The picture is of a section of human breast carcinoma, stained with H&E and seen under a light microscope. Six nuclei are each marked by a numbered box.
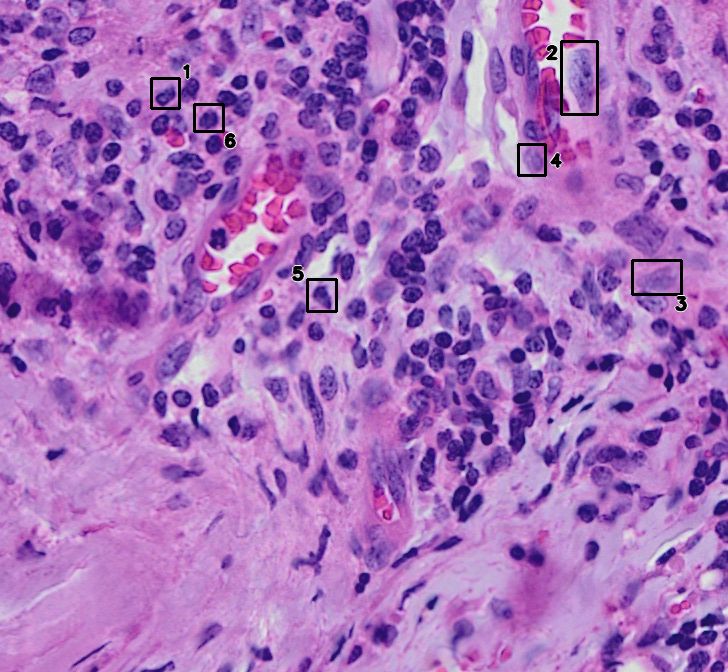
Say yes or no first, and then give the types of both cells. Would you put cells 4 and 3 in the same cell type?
Yes, both cells, 4 and 3, are endothelial cells.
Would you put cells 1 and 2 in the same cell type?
No, in this section cell 1 is a lymphocyte and cell 2 is an endothelial cell.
